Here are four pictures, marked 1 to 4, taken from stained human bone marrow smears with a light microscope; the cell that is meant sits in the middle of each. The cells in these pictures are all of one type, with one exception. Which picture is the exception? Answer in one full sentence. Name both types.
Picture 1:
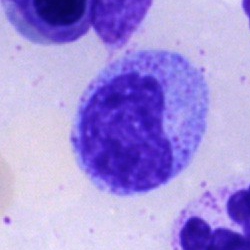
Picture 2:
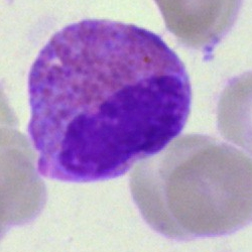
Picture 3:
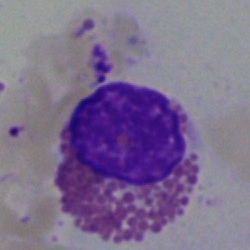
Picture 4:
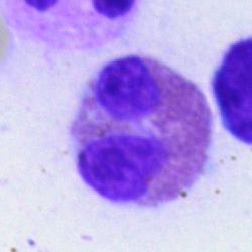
Unlike the rest, which show eosinophils, picture 1 shows a myelocyte.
